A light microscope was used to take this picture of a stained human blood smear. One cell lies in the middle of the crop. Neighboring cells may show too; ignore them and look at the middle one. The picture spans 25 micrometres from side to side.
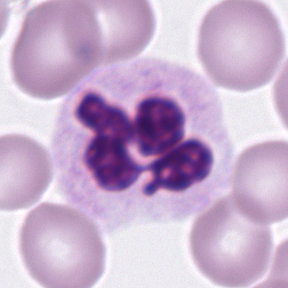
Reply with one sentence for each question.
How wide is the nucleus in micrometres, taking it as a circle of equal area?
Taken as a circle, the nucleus has a diameter of about 9 micrometres.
